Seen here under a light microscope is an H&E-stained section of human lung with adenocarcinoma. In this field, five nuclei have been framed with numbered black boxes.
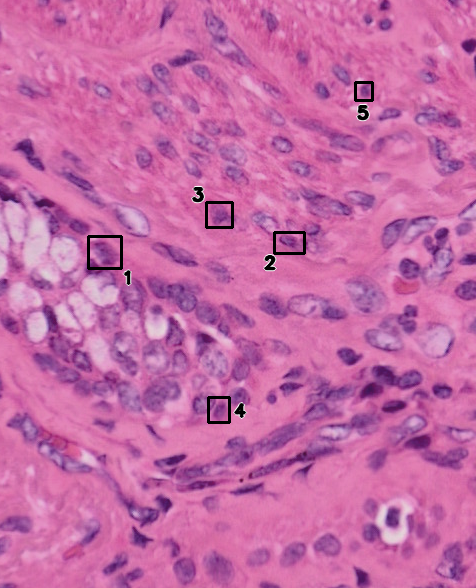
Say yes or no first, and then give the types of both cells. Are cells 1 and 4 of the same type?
Yes, the two cells marked 1 and 4 are both ciliated epithelial cells.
